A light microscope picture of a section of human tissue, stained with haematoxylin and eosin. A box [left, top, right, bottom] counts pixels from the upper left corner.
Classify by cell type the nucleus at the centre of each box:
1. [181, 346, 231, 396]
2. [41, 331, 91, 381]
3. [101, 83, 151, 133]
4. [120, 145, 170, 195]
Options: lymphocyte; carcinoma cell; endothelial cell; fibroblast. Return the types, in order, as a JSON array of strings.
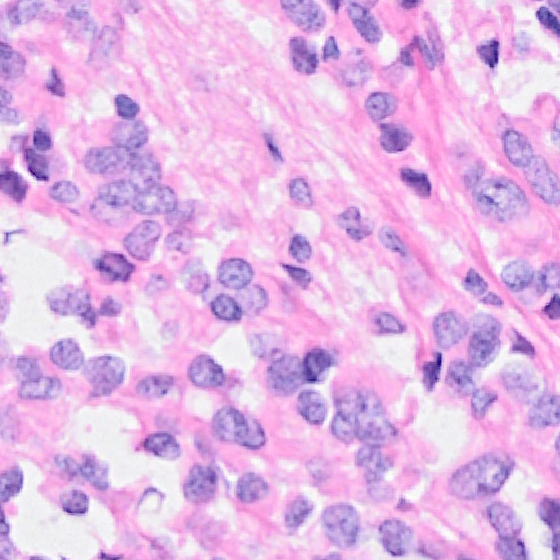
["carcinoma cell", "carcinoma cell", "lymphocyte", "carcinoma cell"]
